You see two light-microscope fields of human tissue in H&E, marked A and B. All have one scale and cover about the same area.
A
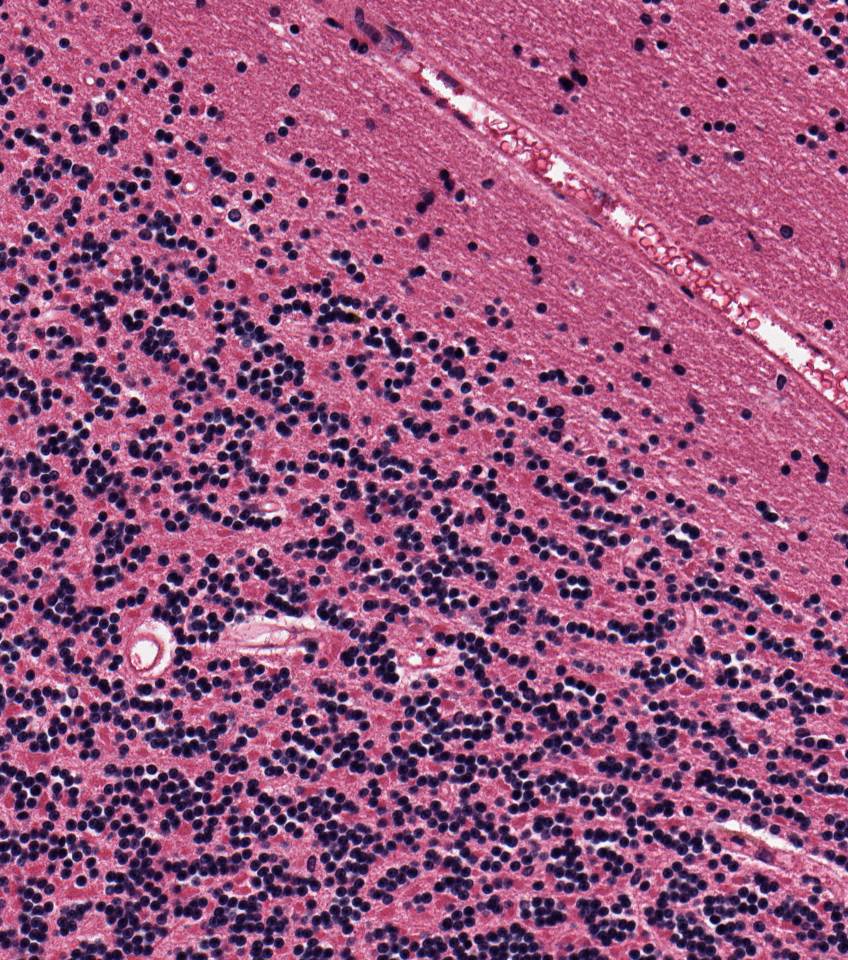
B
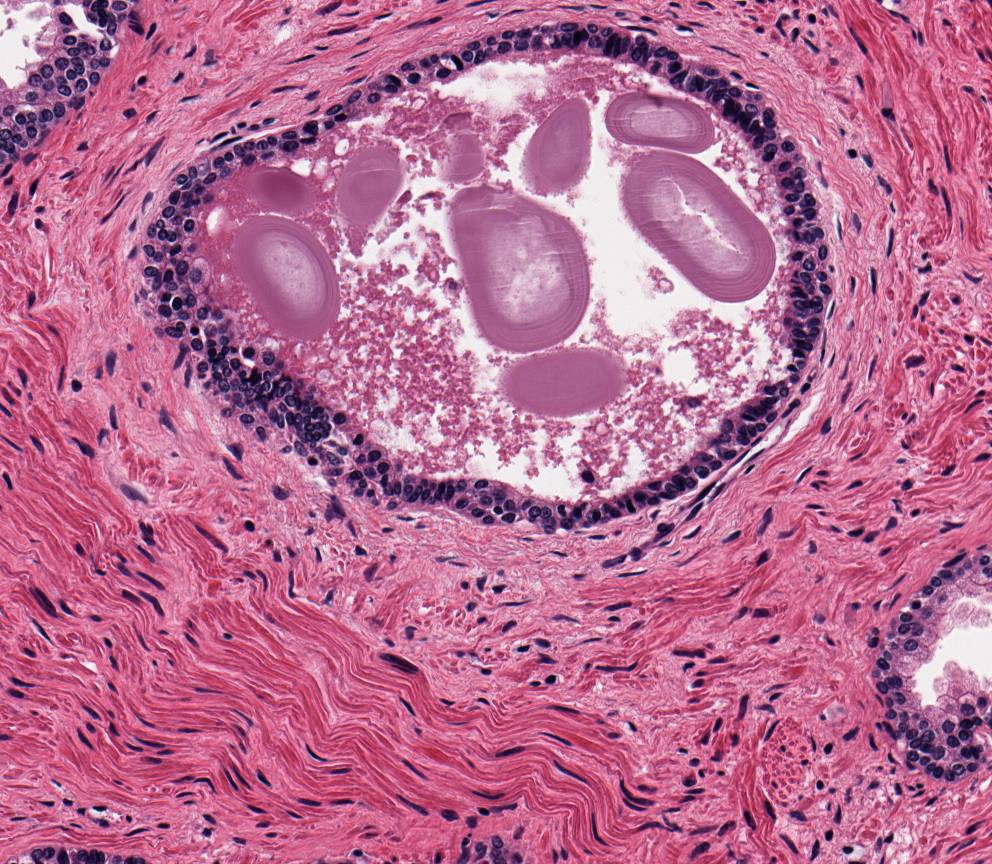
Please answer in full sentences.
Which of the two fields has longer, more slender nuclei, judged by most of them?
The nuclei are more elongated in picture B.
